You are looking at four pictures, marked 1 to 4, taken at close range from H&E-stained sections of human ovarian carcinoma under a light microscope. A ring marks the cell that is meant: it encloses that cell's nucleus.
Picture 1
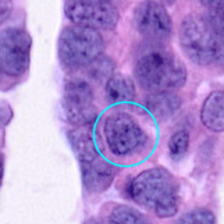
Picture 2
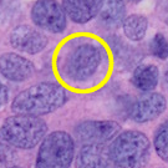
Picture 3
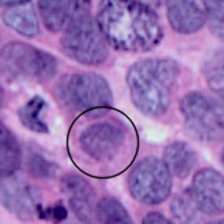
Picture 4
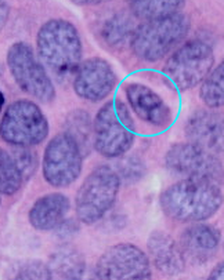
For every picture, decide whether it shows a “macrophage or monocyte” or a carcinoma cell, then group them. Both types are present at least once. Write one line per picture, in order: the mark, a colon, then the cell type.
1: carcinoma cell
2: carcinoma cell
3: carcinoma cell
4: macrophage or monocyte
